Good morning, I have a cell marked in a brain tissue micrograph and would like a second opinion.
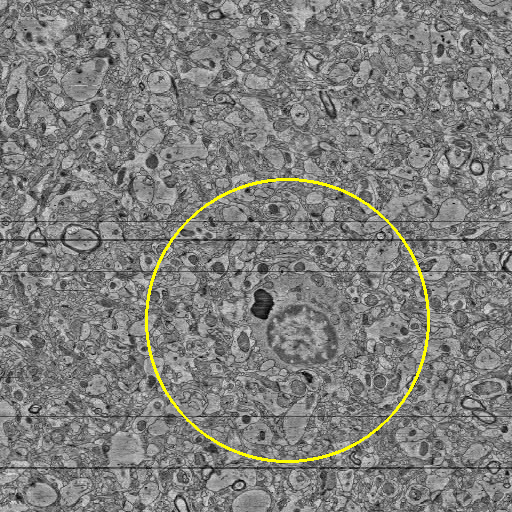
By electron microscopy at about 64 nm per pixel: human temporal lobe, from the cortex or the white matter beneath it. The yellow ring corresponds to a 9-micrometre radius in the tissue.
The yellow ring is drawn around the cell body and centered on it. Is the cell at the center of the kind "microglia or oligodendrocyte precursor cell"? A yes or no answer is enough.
no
